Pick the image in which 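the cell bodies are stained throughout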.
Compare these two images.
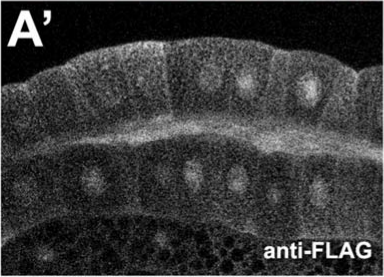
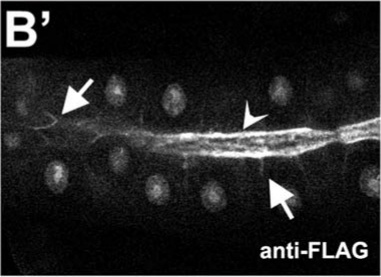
The first image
